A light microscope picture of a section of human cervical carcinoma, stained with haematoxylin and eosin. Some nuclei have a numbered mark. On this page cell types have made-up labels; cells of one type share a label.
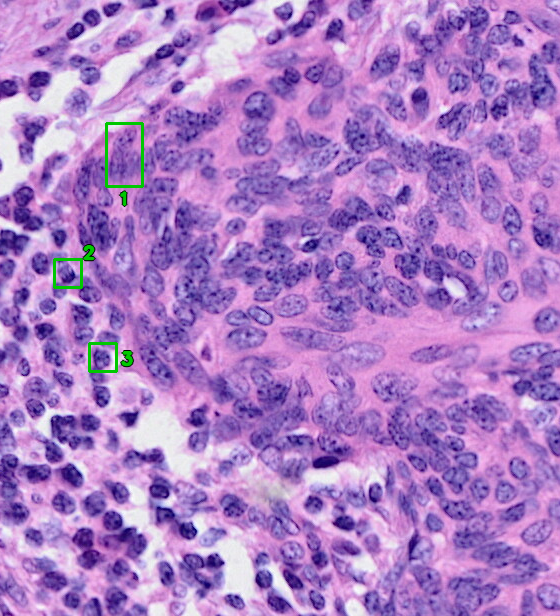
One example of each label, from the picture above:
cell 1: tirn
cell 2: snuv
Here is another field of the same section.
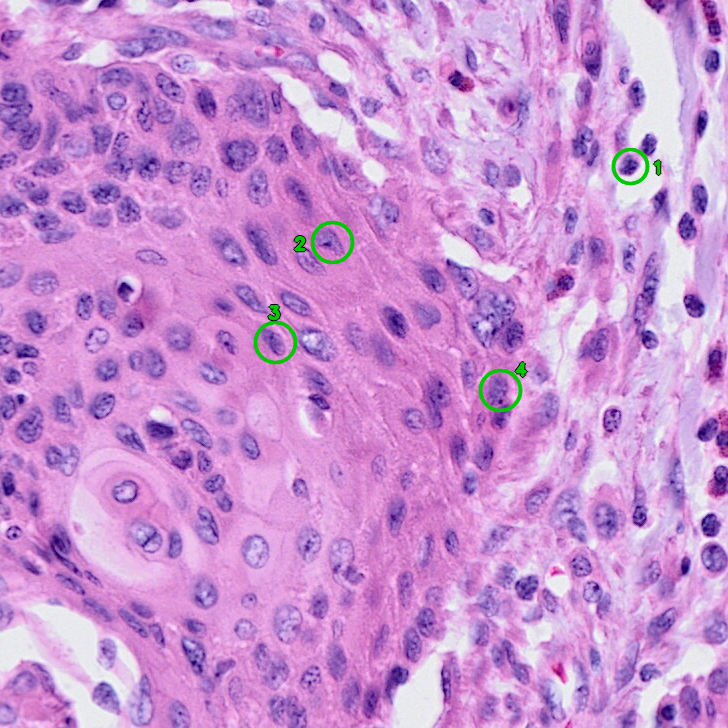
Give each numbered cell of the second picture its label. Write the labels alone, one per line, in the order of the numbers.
snuv
tirn
tirn
tirn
